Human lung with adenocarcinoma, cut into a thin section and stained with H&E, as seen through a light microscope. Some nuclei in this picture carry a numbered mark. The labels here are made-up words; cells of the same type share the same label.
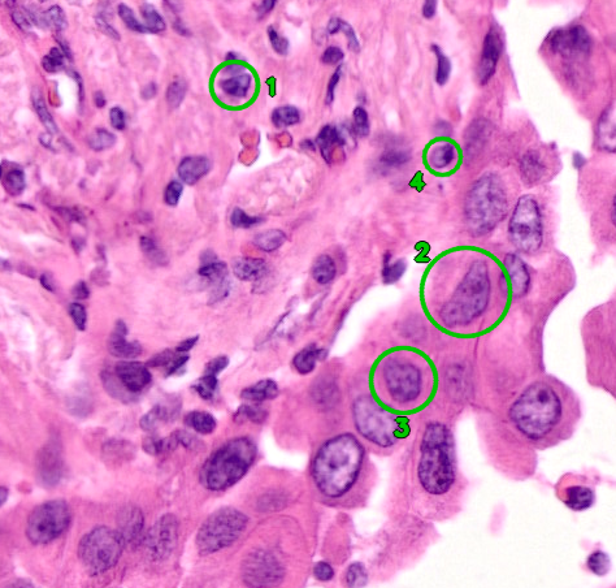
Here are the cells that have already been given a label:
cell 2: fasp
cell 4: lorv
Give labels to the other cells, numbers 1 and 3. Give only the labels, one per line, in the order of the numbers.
lorv
fasp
